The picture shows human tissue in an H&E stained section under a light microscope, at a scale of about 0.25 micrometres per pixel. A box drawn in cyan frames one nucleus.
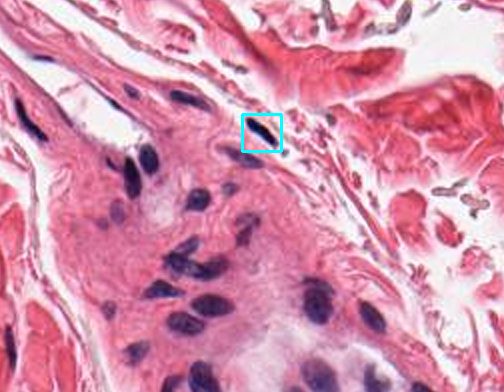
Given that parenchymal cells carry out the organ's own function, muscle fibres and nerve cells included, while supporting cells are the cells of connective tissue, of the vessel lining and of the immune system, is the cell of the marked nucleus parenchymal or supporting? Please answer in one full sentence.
The cell to which the marked nucleus belongs is a supporting cell.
